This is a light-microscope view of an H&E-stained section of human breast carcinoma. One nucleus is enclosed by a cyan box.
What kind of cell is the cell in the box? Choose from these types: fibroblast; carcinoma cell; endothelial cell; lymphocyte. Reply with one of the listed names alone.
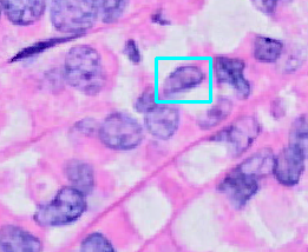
carcinoma cell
